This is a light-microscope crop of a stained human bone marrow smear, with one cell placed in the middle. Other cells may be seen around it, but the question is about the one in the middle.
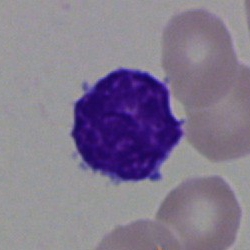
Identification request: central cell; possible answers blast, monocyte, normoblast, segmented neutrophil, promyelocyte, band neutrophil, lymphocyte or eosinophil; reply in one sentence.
This crop is built around a blast at its centre.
